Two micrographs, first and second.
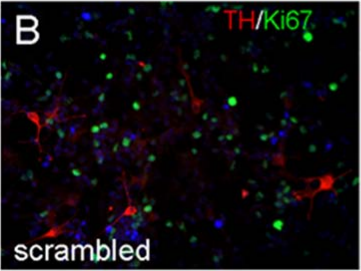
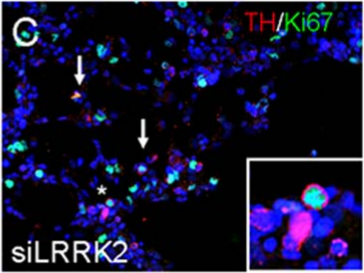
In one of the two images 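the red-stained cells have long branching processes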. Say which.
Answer: The first image.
